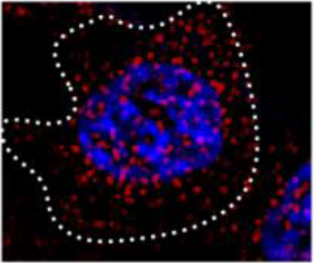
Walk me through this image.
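This is a flat cultured cell in interphase, outlined by a white dotted line that shows its irregular spread shape. A large oval nucleus, in blue, with a mottled chromatin texture lies in its middle. Small red dots are scattered over the nucleus and through the surrounding cytoplasm. Parts of neighbouring cells can be seen outside the outline.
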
